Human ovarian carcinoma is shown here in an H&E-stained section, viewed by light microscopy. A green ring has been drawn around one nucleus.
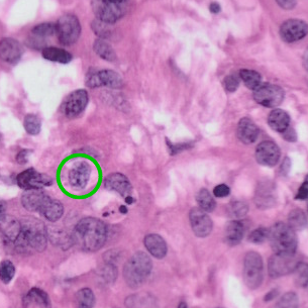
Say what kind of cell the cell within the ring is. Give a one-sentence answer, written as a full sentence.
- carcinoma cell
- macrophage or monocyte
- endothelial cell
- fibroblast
What the cell within the ring represents is a macrophage or monocyte.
